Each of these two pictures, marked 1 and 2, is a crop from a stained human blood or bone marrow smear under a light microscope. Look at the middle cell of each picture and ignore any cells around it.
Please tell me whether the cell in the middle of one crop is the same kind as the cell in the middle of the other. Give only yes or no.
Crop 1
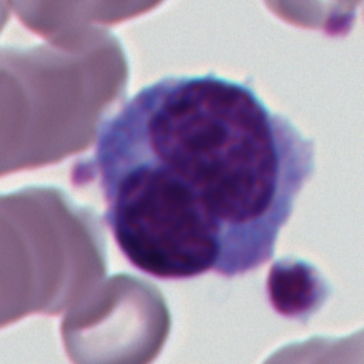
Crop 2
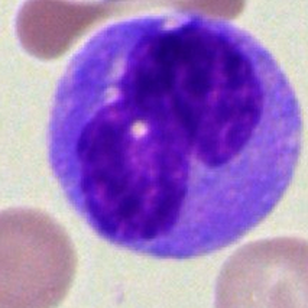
yes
